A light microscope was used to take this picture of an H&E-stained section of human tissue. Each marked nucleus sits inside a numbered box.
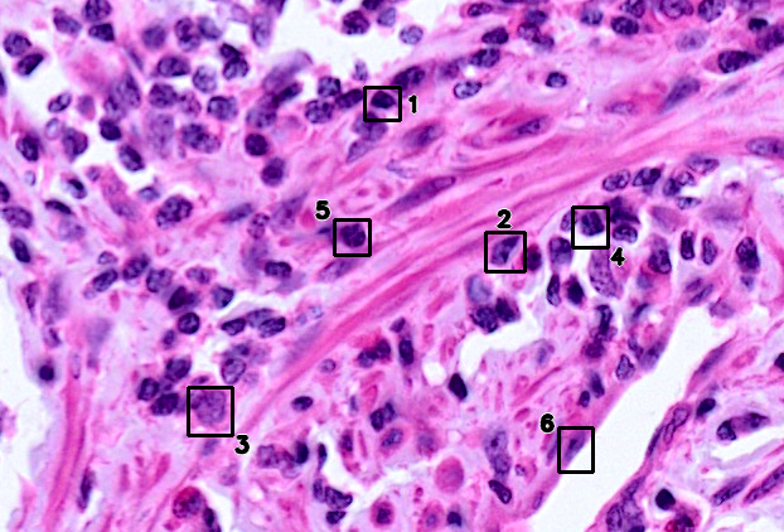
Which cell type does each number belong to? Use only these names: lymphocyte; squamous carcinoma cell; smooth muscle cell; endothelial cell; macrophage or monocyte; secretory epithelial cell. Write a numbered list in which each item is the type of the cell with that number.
1. lymphocyte
2. lymphocyte
3. macrophage or monocyte
4. lymphocyte
5. lymphocyte
6. endothelial cell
